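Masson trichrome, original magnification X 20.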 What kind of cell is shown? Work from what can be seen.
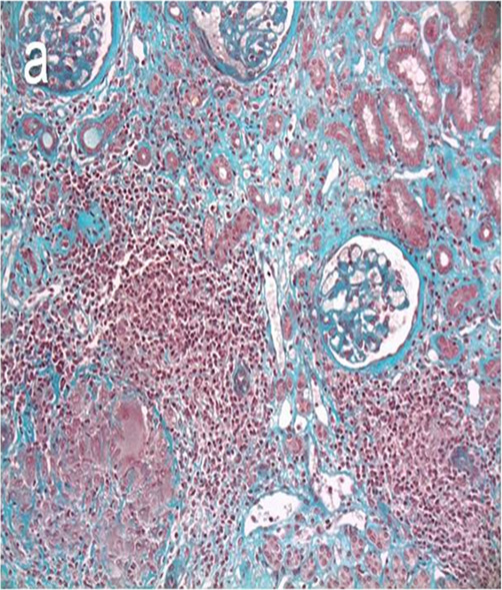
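A dense sheet of small cells with round dark nuclei and scant cytoplasm fills the centre. These small cells lie between tubules and around the pale nodule.
Conclusion: lymphocytes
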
